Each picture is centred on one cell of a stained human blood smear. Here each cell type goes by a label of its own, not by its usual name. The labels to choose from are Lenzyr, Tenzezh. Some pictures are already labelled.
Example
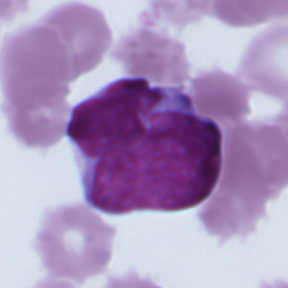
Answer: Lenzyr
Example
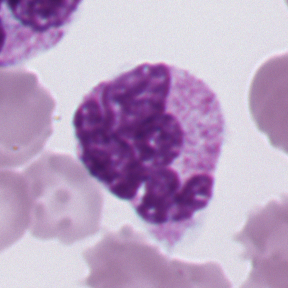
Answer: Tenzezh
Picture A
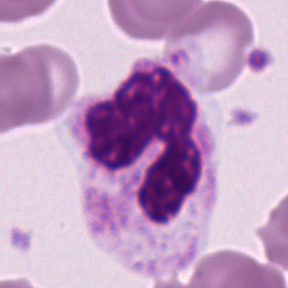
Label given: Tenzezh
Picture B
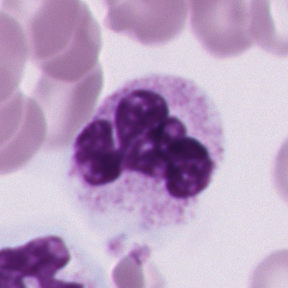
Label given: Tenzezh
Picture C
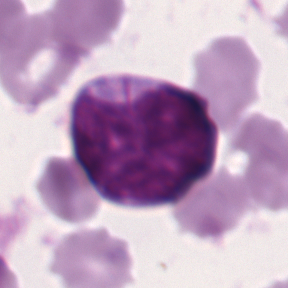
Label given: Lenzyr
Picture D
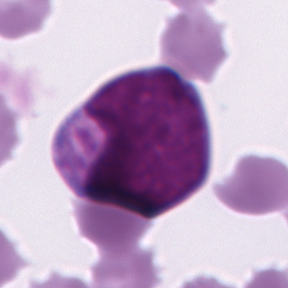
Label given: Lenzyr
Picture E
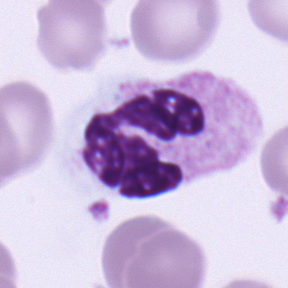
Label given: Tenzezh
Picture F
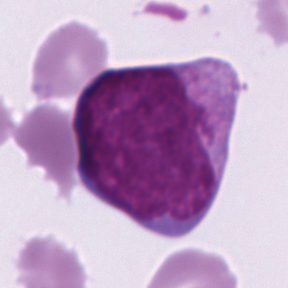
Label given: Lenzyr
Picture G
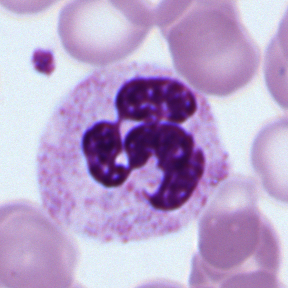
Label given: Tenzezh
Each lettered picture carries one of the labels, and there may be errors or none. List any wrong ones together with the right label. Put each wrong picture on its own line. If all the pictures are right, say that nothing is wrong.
No label is wrong.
